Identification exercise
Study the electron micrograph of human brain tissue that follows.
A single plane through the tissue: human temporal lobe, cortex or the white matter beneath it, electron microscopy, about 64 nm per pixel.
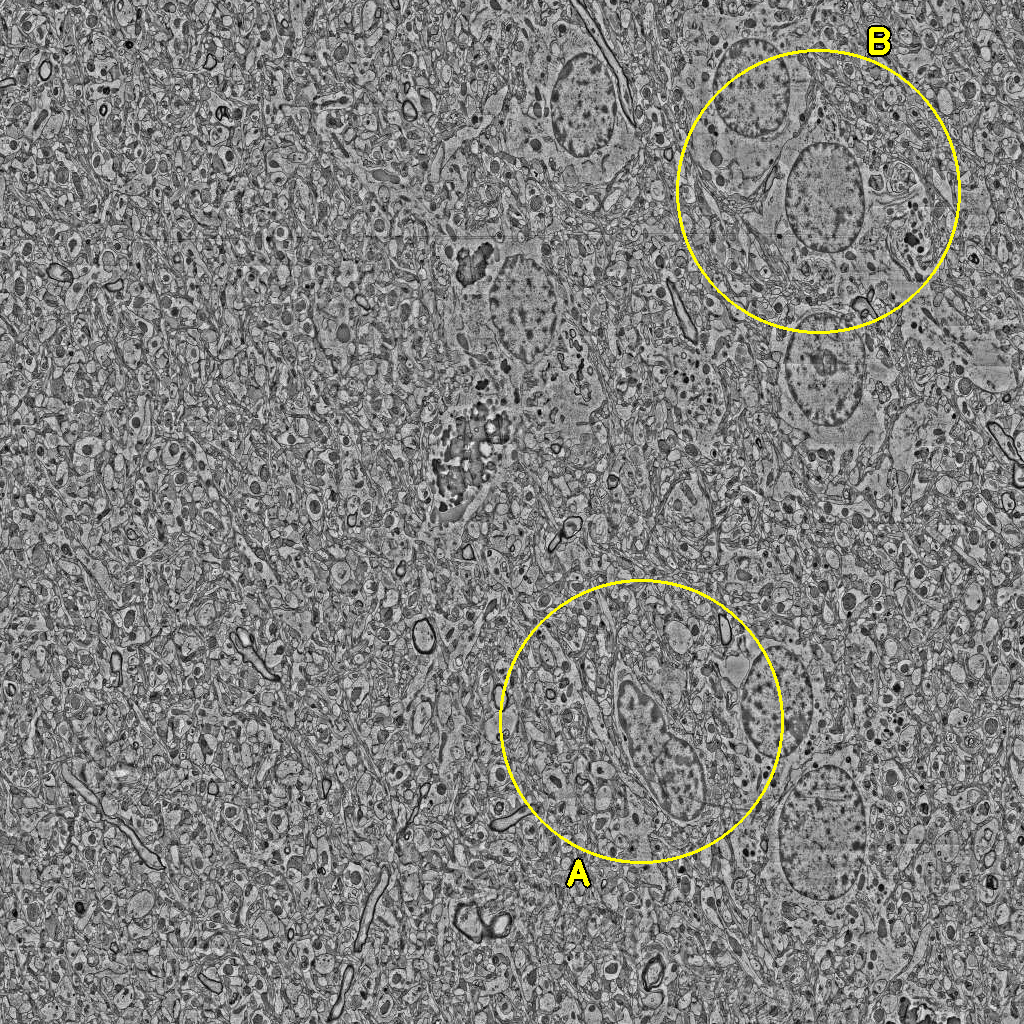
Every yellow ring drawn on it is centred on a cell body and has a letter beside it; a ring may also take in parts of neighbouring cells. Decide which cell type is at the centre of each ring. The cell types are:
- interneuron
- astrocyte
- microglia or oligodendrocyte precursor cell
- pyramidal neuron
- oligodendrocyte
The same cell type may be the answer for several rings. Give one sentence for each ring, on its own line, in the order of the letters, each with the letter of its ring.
Ring A encircles a microglial cell or oligodendrocyte precursor cell.
Ring B encircles an astrocyte.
